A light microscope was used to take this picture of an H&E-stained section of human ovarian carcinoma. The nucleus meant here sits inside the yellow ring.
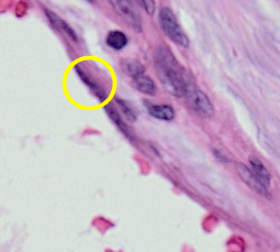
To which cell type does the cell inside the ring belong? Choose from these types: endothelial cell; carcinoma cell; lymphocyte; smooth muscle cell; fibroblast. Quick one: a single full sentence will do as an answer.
Placed in its cell category, the cell inside the ring is an endothelial cell.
